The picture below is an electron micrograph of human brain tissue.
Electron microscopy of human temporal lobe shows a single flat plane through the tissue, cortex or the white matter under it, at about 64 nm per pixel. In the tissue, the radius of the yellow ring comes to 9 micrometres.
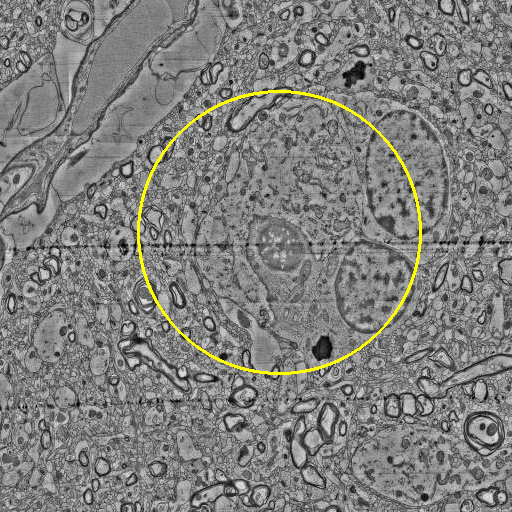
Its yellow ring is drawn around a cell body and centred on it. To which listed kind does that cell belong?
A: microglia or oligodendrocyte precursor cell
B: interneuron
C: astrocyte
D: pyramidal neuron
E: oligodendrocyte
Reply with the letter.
E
